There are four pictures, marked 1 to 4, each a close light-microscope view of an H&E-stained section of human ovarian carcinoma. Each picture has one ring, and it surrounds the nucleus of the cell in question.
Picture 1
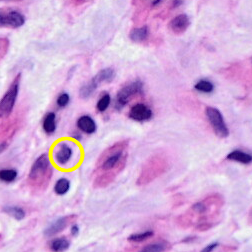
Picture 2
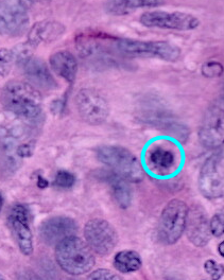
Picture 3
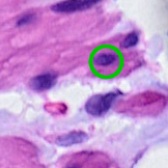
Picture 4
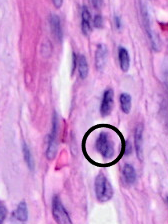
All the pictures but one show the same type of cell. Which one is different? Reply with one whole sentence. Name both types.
The others show lymphocytes, but picture 3 shows a smooth muscle cell.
